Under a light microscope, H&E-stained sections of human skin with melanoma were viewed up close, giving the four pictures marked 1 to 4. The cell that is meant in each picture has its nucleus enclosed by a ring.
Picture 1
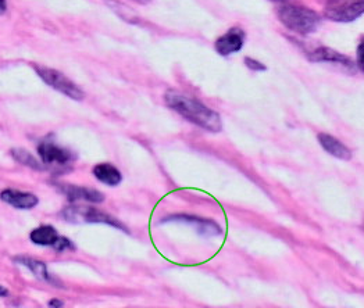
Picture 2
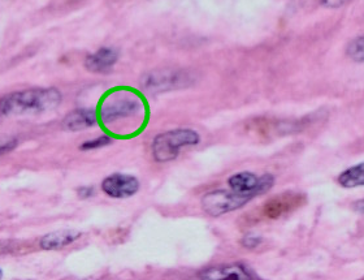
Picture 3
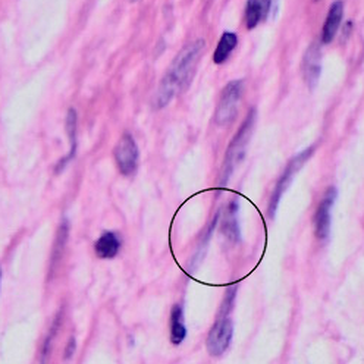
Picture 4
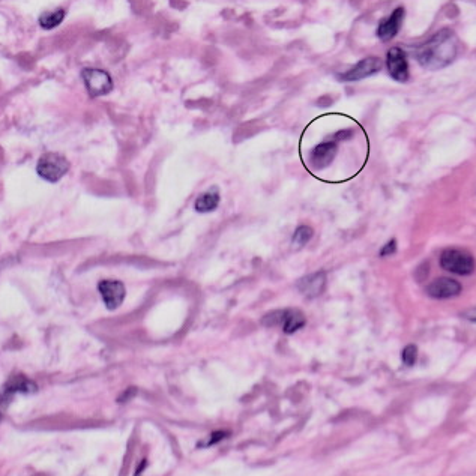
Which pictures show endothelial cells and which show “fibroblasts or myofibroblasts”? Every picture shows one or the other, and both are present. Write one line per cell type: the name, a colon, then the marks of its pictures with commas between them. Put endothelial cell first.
endothelial cell: 2
fibroblast or myofibroblast: 1, 3, 4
